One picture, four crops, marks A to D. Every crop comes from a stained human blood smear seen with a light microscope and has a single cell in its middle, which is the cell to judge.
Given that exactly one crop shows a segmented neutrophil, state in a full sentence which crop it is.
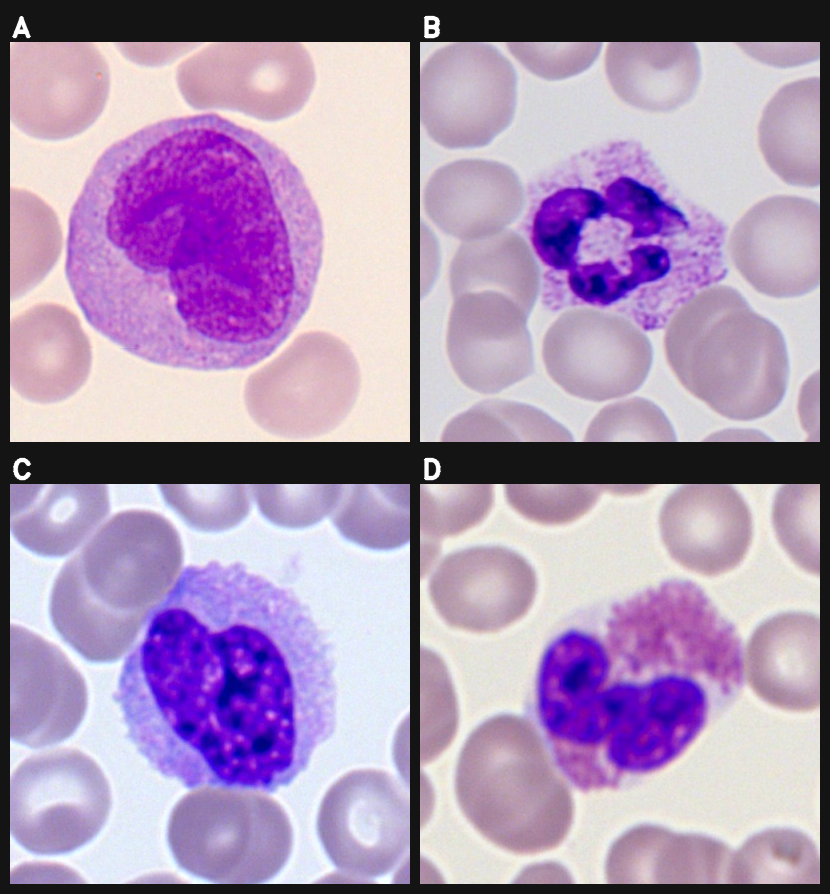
Of the labeled crops, the one with a segmented neutrophil is crop B.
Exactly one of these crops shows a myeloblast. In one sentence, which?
It is crop A, not any other, that shows a myeloblast.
